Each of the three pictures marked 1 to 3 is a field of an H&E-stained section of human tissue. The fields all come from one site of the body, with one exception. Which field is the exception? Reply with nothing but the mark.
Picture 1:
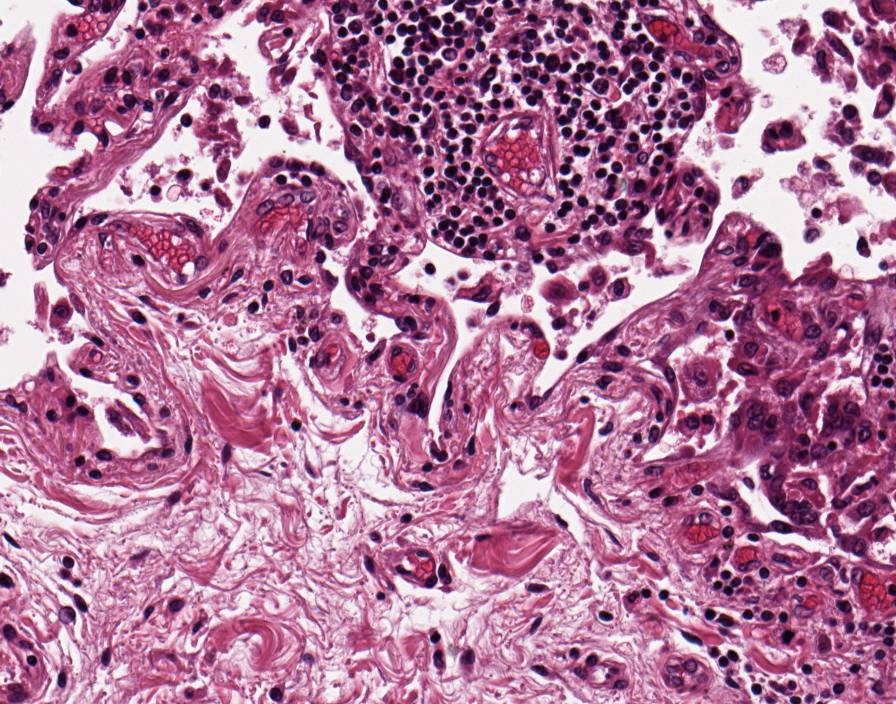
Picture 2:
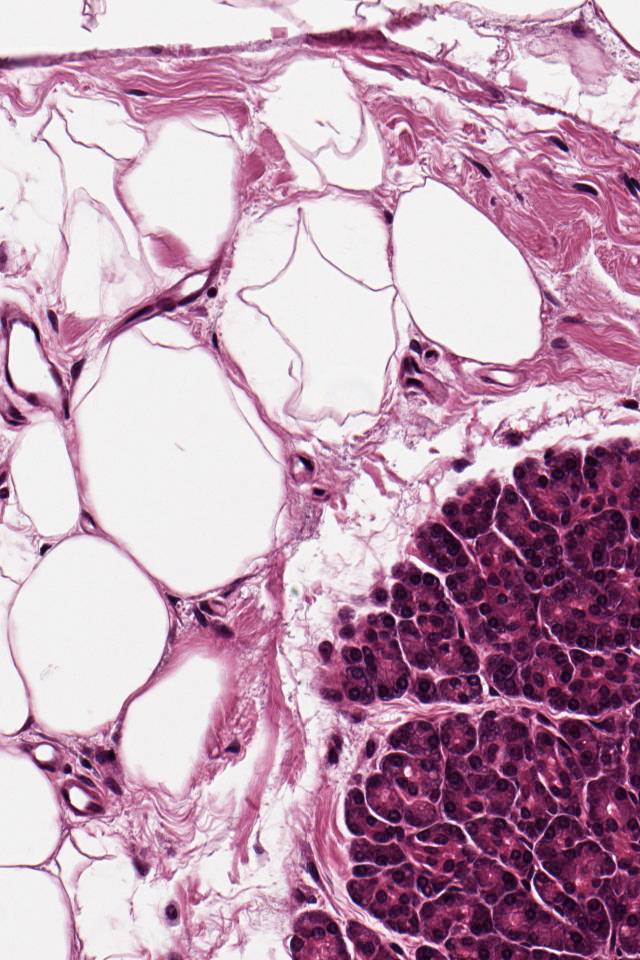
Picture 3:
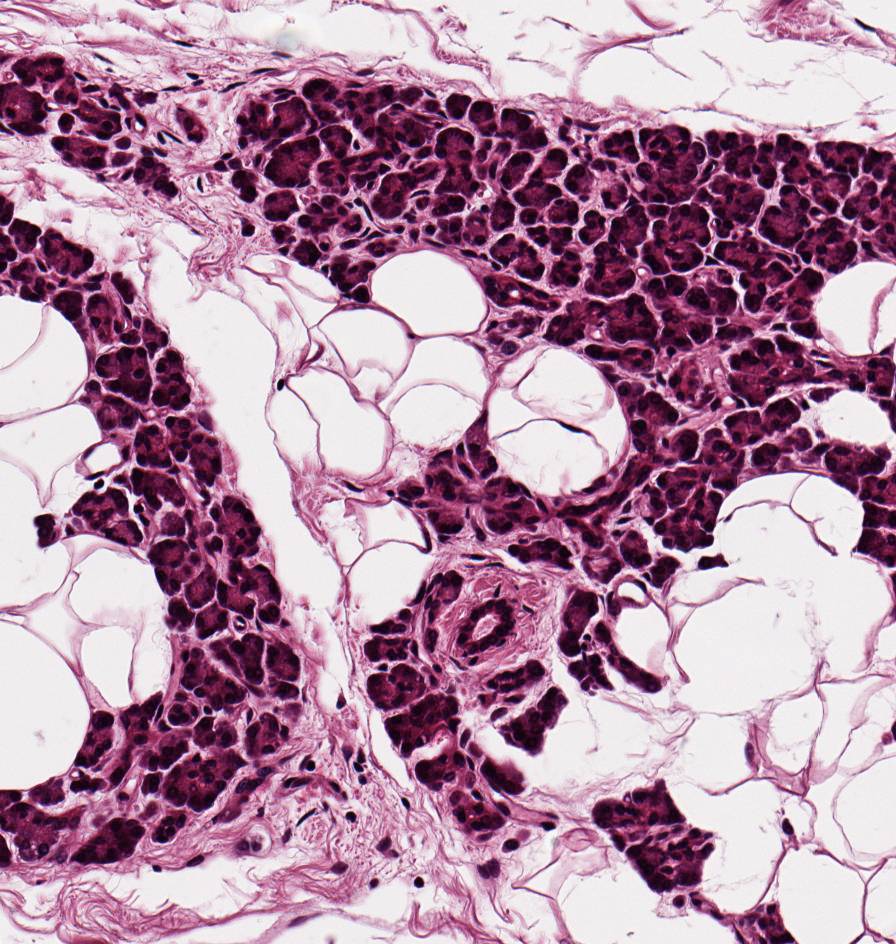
1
